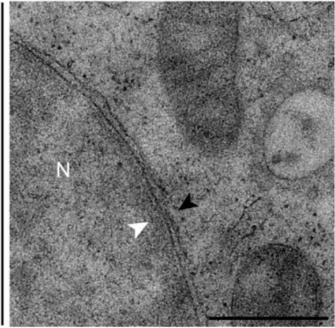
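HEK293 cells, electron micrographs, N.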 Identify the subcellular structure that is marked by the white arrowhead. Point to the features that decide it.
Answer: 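The white arrowhead marks the membrane line bordering the granular nuclear interior. A parallel membrane lies just outside it toward the cytoplasm. So: inner nuclear membrane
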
